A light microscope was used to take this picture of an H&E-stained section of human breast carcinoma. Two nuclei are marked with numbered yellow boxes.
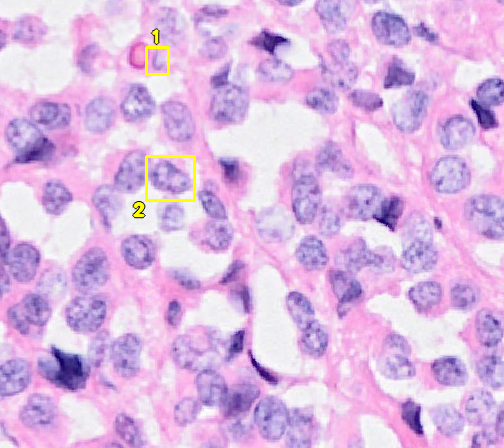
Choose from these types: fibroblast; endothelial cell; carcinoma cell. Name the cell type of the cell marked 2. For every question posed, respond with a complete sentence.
Cell number 2 in this section is a carcinoma cell.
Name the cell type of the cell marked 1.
The cell carrying label 1 is identified as an endothelial cell.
